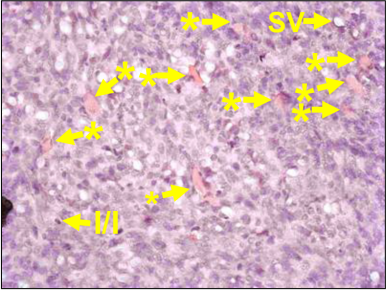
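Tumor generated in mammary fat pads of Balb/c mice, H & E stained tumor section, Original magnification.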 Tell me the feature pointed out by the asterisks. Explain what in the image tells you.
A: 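The asterisks point to small channels filled with pink-red material. The pink-red material has the look of packed red blood cells among pale tumor cells.
Conclusion: blood vessels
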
